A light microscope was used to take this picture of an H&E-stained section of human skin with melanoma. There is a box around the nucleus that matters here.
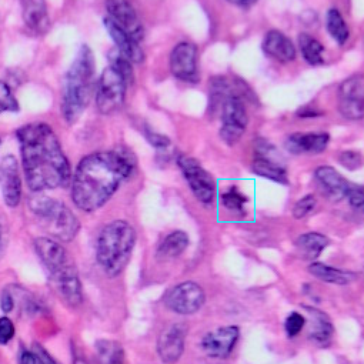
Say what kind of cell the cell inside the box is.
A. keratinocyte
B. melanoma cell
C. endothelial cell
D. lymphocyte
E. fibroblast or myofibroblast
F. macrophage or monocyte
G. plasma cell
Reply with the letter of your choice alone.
B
